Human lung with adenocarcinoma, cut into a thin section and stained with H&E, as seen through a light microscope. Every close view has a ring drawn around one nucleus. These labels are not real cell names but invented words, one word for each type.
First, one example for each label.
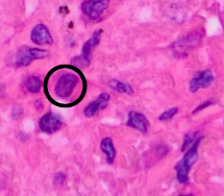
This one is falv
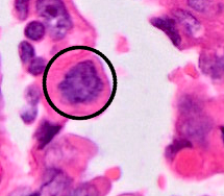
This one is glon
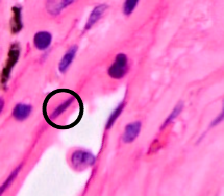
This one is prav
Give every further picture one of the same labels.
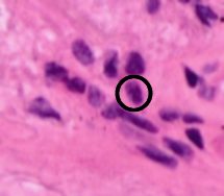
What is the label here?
falv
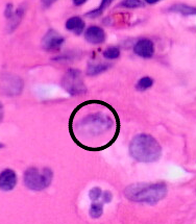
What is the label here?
prav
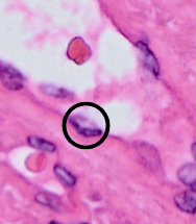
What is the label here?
prav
